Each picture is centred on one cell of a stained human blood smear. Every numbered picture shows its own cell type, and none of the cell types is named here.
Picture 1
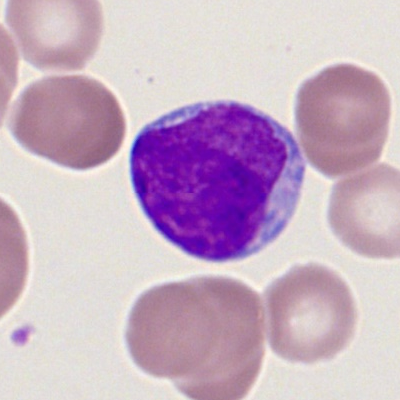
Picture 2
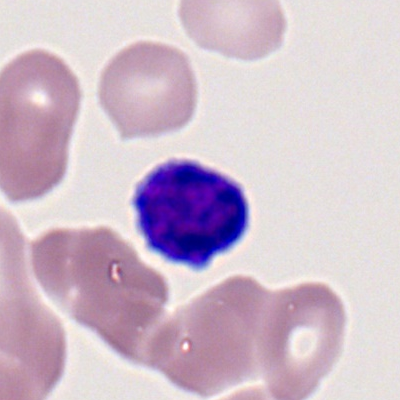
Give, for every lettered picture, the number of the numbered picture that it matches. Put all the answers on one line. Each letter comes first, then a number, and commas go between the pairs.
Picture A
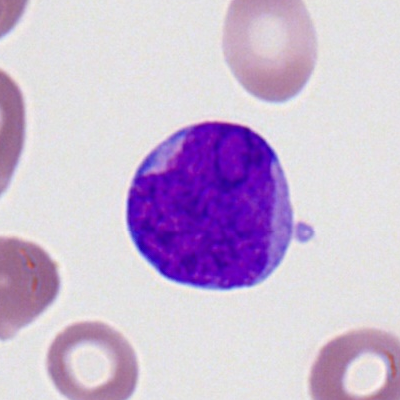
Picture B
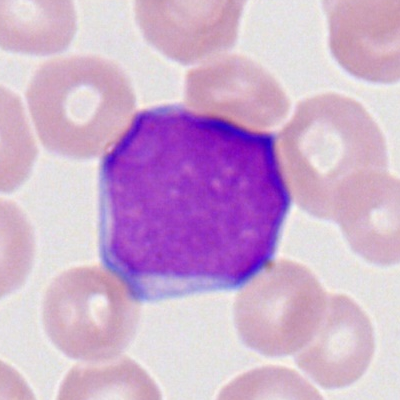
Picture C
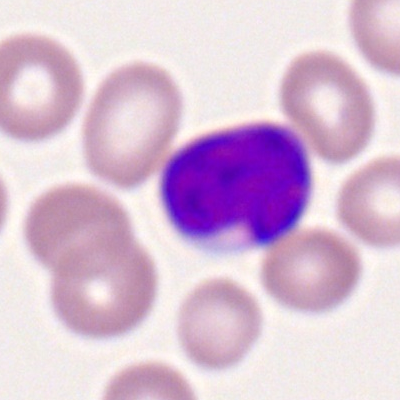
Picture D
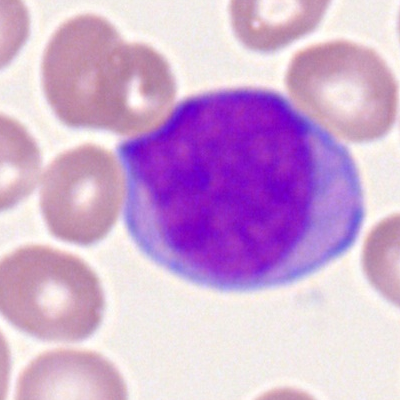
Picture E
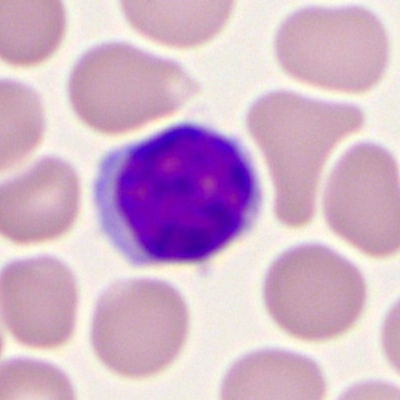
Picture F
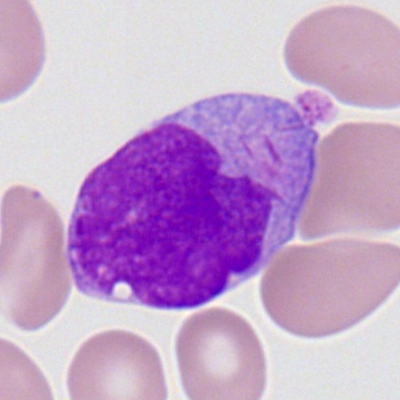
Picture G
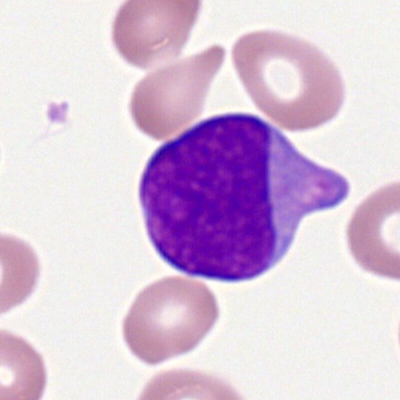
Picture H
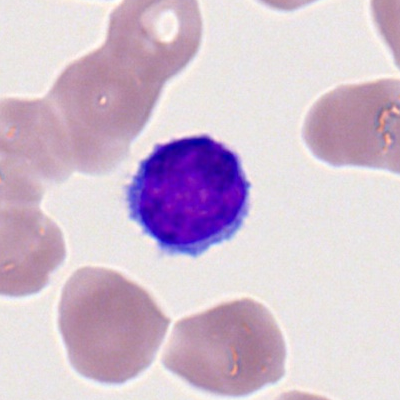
A 1, B 1, C 2, D 1, E 2, F 1, G 1, H 2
